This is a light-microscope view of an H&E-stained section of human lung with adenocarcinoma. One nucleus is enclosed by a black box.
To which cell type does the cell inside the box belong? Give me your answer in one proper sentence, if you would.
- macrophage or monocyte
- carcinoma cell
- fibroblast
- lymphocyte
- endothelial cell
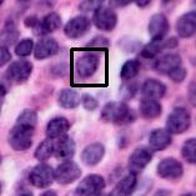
The identity of the cell inside the box is that of a lymphocyte.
